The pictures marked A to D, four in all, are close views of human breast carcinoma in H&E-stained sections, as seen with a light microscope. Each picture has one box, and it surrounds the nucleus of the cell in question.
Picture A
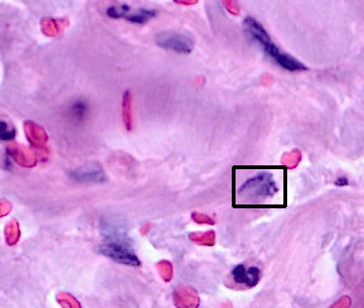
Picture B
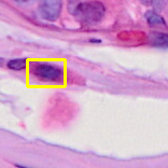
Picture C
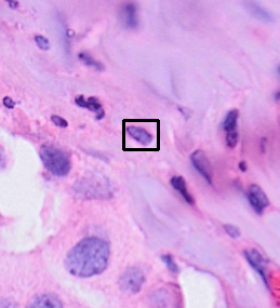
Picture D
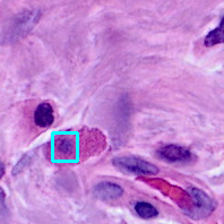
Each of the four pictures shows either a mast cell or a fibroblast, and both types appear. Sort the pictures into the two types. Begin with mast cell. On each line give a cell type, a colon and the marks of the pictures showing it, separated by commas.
mast cell: B, C, D
fibroblast: A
